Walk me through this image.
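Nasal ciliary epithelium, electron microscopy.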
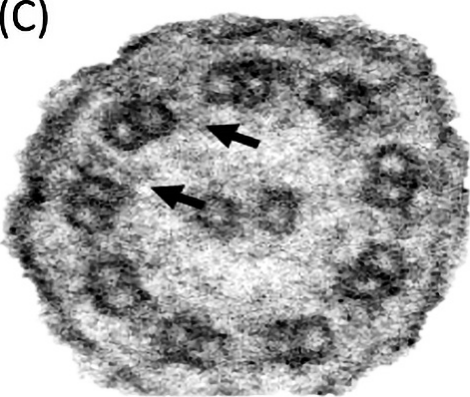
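A transmission electron micrograph of a single cilium cut in cross-section, showing the axoneme as a ring of nine doublet microtubules set just inside the enclosing membrane, with a paler central region. The doublets appear as dark paired rings, and at the positions marked by arrows no inner arm projections are seen on them.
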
